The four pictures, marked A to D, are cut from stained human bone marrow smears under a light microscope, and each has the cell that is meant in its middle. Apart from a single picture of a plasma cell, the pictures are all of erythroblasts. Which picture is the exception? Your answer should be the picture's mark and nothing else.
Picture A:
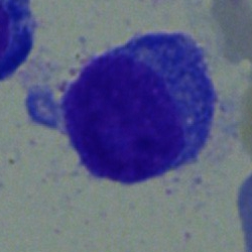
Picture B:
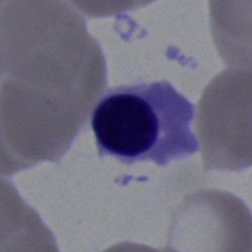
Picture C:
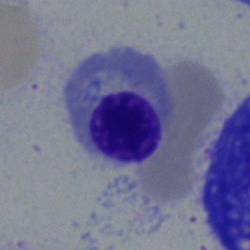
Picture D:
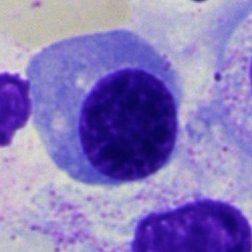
A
